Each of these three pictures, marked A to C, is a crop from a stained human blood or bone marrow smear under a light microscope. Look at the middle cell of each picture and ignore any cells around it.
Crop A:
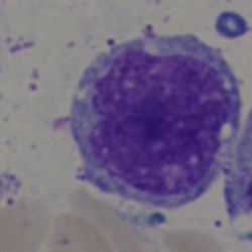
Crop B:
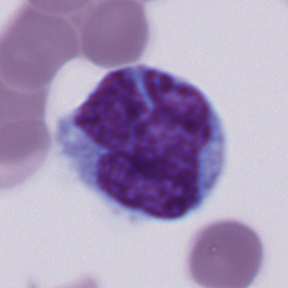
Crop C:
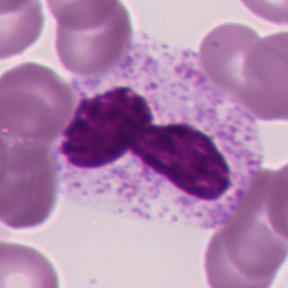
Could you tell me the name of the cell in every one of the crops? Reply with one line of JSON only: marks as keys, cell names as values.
{"A": "monocyte", "B": "monocyte", "C": "segmented neutrophil"}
